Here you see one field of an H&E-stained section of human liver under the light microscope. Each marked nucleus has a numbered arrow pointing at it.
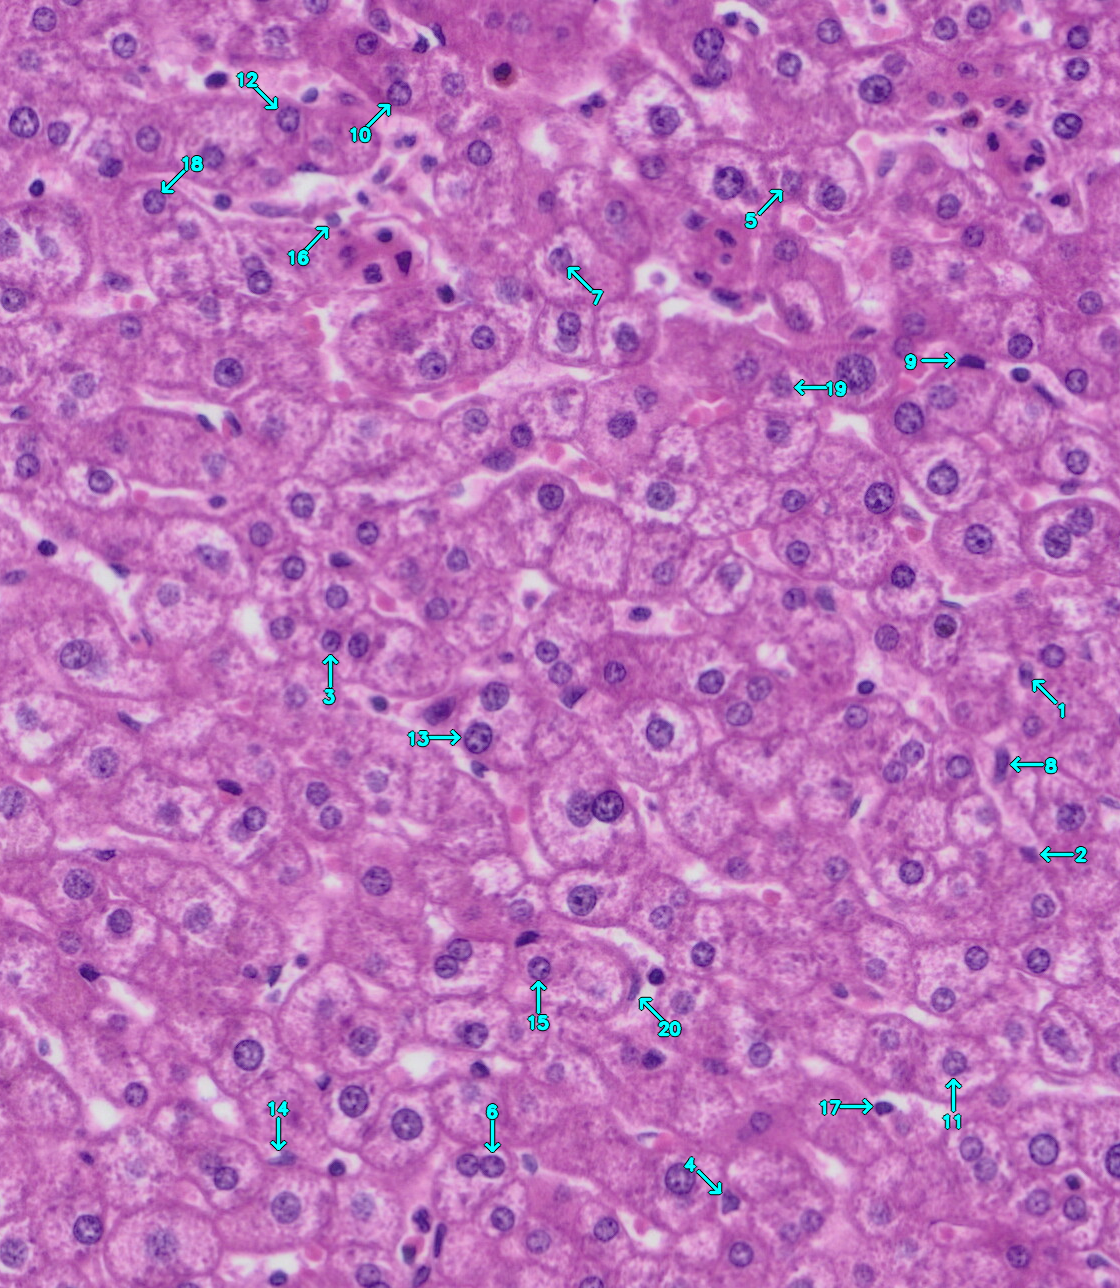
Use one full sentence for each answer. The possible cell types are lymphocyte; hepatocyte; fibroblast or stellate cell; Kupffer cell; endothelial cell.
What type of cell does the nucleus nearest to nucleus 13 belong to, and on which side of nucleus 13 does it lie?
The nearest one is an endothelial cell, found below nucleus 13.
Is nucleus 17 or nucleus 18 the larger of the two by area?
Of the two, number 18 is bigger and takes up about 2 times the area of number 17.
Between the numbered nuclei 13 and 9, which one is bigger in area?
At about 2.5 times the area of nucleus 9, nucleus 13 is the larger of the two.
